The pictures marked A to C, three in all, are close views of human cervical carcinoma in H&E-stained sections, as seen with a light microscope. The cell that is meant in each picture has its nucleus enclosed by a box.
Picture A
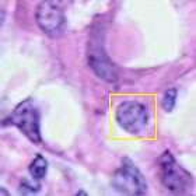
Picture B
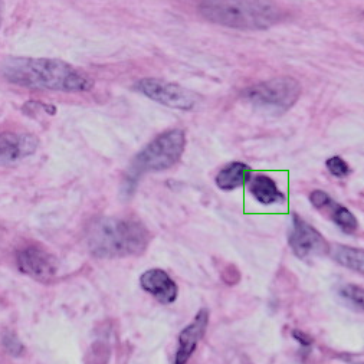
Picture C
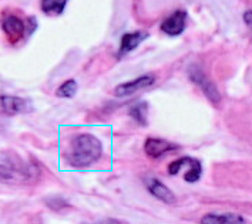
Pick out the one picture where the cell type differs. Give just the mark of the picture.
B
